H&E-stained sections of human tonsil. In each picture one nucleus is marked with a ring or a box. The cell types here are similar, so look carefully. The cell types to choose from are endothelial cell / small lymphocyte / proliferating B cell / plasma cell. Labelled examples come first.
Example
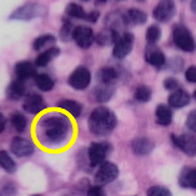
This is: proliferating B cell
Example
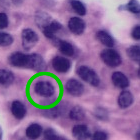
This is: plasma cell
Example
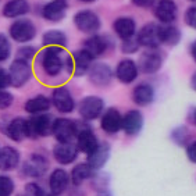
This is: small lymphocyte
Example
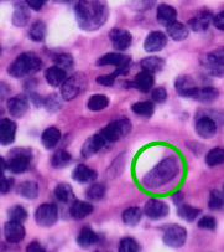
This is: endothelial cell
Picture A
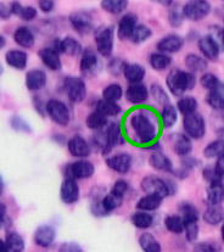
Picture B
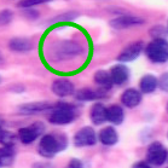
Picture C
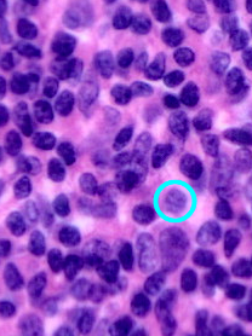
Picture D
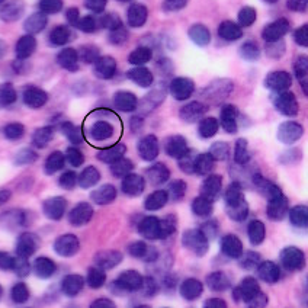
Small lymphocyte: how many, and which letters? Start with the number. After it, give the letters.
2, namely A, D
